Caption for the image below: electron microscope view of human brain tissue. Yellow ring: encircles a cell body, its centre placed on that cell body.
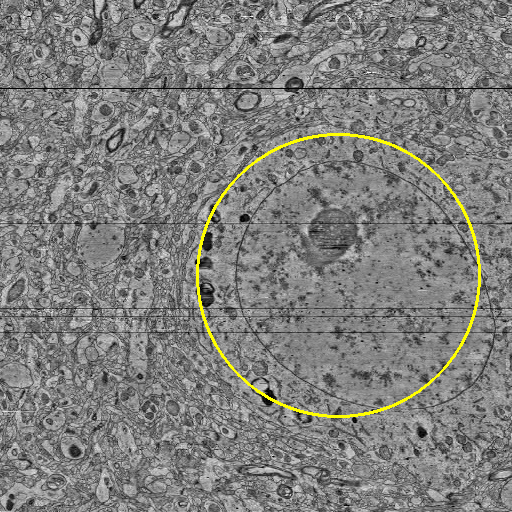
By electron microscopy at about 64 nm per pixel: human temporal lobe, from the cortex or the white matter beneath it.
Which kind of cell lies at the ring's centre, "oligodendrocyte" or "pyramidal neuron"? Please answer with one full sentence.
The picture shows a pyramidal neuron at the centre of the yellow ring.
